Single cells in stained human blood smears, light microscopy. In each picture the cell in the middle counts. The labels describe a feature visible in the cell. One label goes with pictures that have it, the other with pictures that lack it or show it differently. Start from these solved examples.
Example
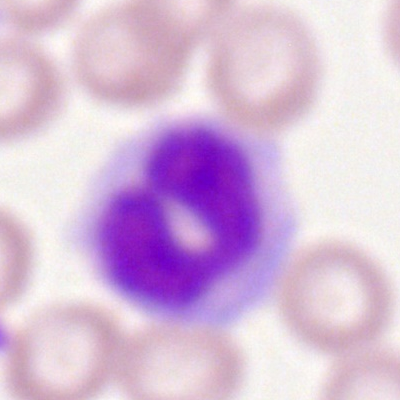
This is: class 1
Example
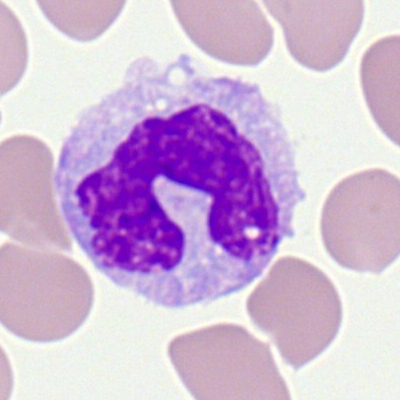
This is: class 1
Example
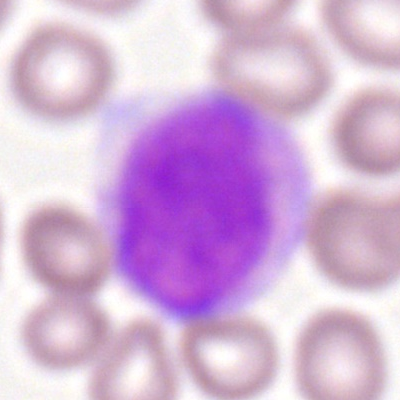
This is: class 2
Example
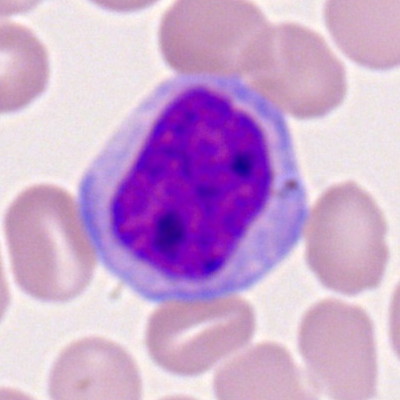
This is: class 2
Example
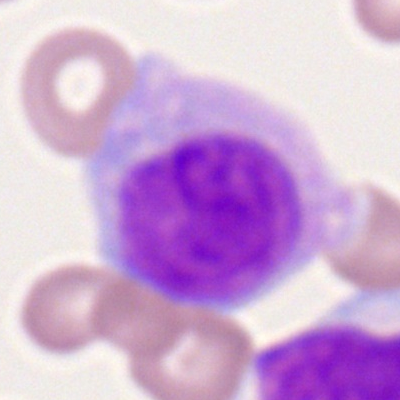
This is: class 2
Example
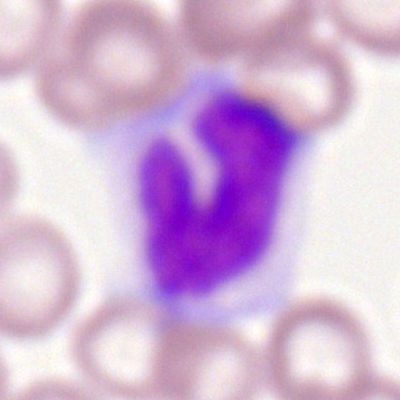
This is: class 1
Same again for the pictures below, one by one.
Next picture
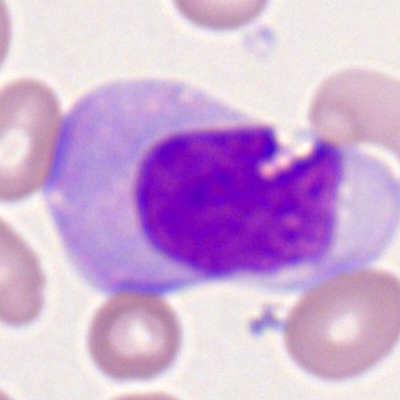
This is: class 2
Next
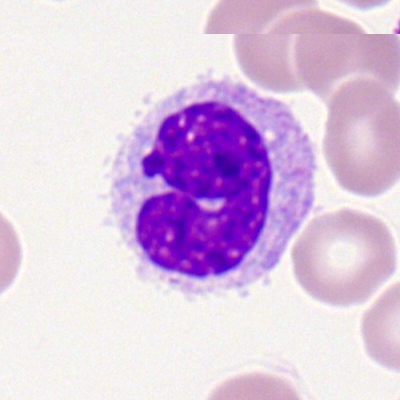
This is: class 1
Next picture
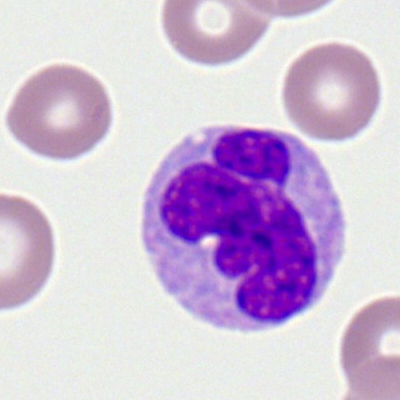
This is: class 1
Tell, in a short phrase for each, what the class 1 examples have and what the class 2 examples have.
class 1, band-shaped nucleus; class 2, round or oval nucleus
